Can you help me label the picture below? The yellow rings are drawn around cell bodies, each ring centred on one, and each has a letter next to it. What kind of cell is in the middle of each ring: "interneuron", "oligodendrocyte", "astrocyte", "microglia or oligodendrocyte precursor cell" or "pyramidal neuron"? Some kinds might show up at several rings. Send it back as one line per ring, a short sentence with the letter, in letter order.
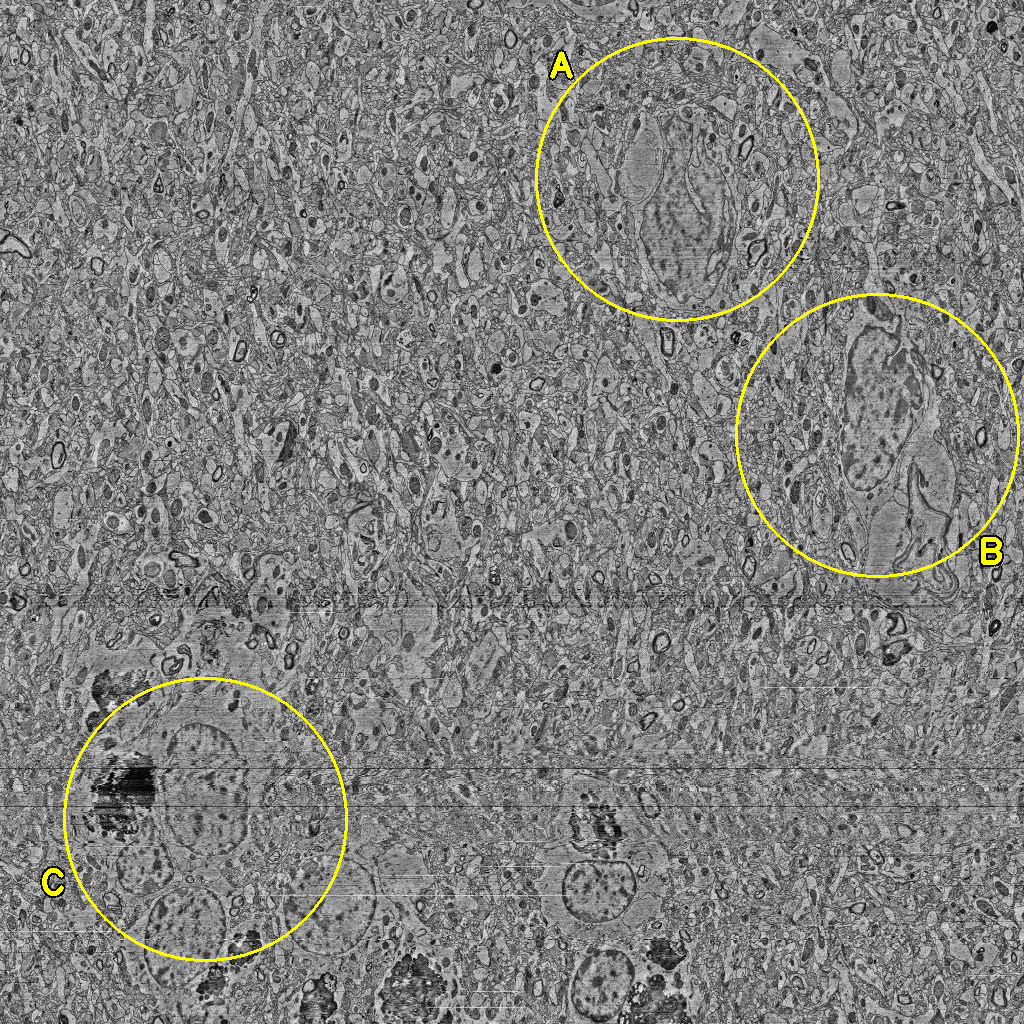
Ring A has an interneuron in the middle.
Ring B has a microglial cell or oligodendrocyte precursor cell in the middle.
Ring C has an astrocyte in the middle.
